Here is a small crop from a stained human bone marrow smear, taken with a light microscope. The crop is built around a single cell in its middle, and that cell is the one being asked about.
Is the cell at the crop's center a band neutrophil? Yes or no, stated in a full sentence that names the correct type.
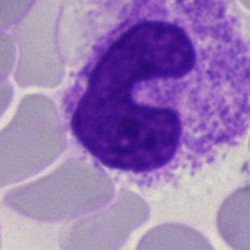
Yes, it is a band neutrophil that occupies the centre of the crop.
